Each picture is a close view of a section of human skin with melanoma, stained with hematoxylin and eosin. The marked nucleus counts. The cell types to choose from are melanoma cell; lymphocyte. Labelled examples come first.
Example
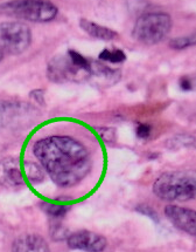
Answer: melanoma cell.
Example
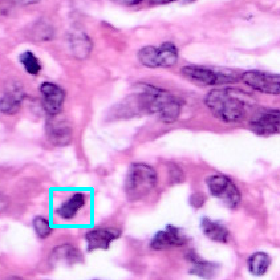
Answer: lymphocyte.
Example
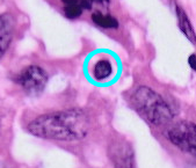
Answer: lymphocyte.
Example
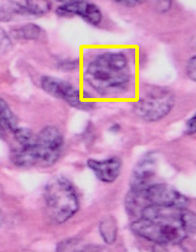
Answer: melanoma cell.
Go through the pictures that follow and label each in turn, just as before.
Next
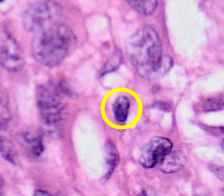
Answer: lymphocyte.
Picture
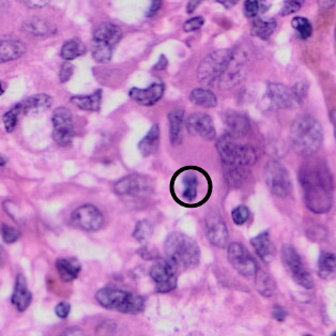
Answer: lymphocyte.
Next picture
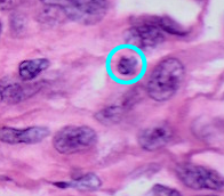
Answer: lymphocyte.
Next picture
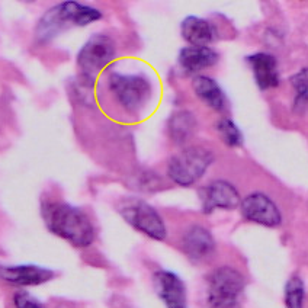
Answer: melanoma cell.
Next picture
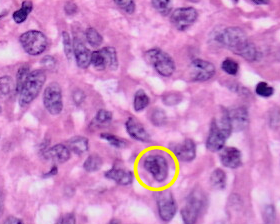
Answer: melanoma cell.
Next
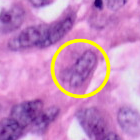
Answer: melanoma cell.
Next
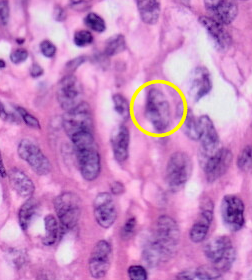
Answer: melanoma cell.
